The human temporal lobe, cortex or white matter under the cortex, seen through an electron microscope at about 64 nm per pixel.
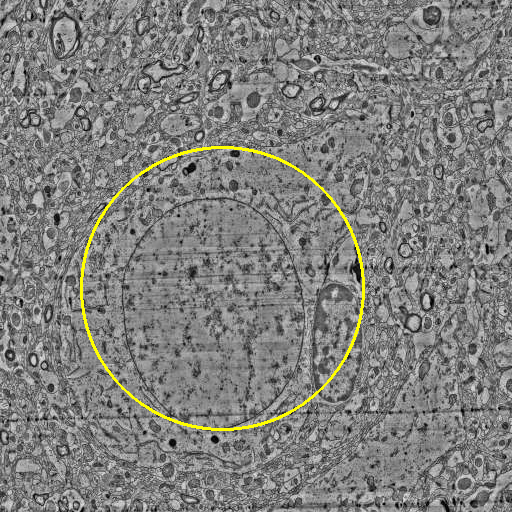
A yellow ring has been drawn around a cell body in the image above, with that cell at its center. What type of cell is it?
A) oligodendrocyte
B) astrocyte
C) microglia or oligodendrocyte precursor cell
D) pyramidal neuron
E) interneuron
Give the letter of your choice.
D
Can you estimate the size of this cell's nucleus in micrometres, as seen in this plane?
The nucleus of the ringed cell is approximately 15 by 12 micrometres in this plane.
